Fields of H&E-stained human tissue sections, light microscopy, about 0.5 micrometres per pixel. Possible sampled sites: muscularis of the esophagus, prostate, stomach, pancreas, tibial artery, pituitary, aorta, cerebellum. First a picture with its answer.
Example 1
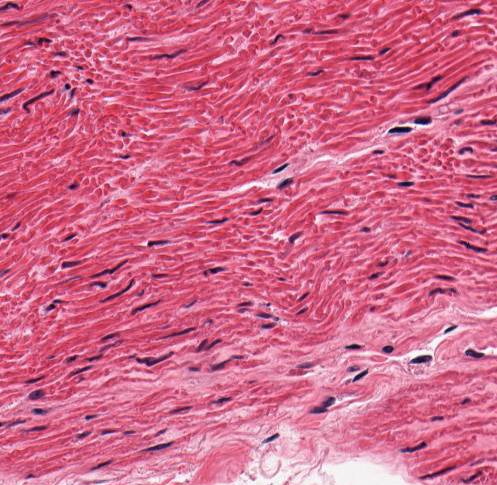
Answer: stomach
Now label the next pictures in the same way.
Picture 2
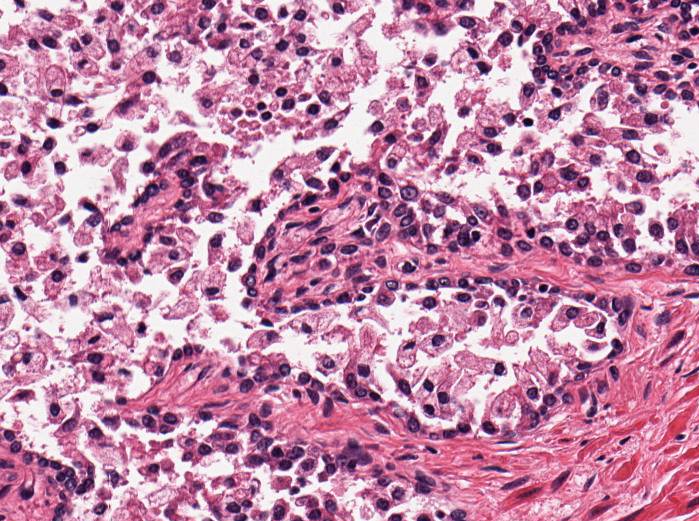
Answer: prostate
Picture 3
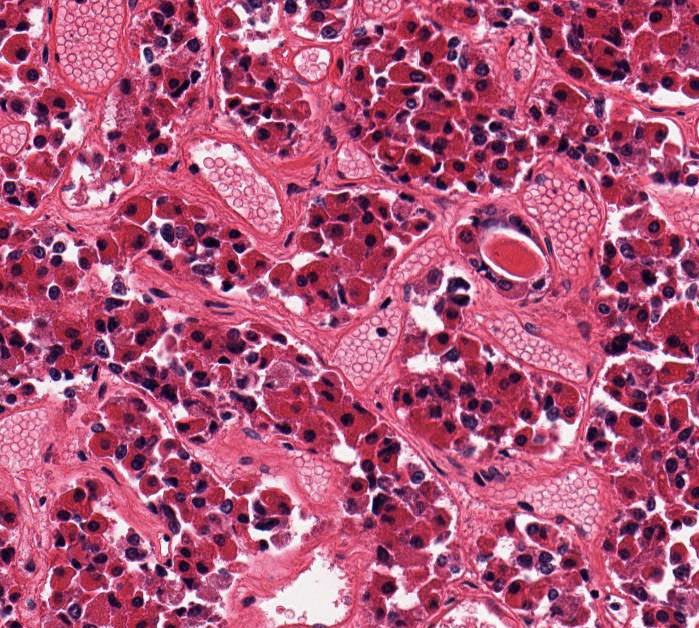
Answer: pituitary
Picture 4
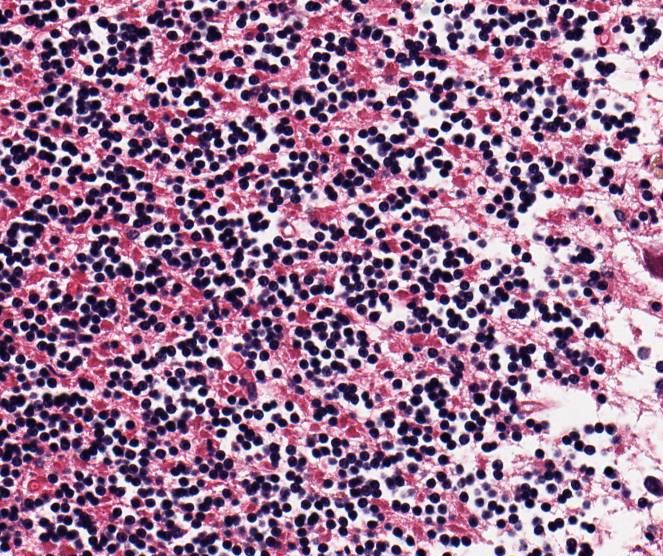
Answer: cerebellum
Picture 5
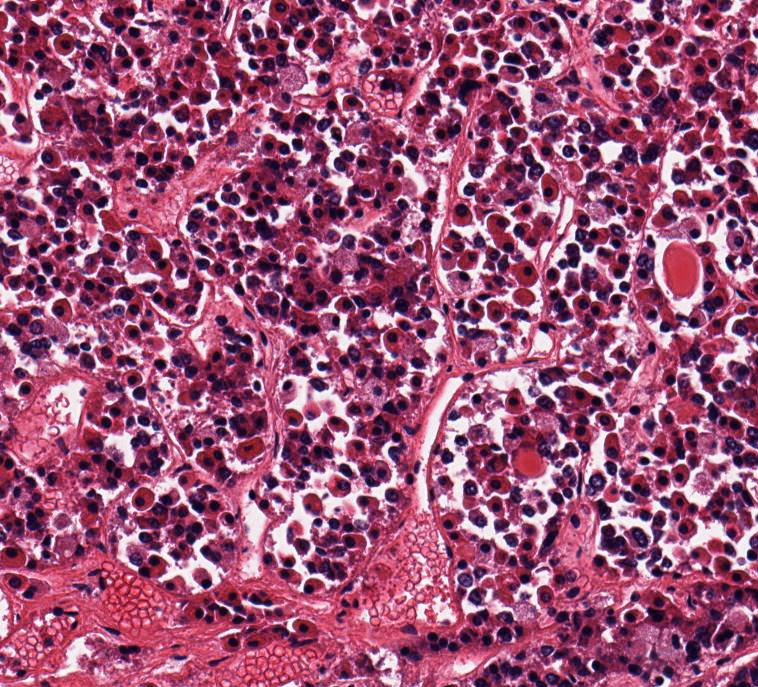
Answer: pituitary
